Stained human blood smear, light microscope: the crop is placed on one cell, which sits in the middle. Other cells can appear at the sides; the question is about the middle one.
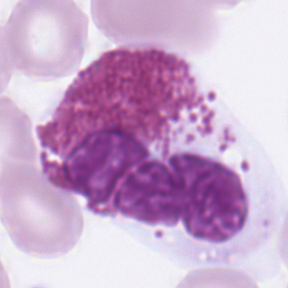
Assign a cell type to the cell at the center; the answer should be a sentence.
The cell featured at the centre of this crop is an eosinophil.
